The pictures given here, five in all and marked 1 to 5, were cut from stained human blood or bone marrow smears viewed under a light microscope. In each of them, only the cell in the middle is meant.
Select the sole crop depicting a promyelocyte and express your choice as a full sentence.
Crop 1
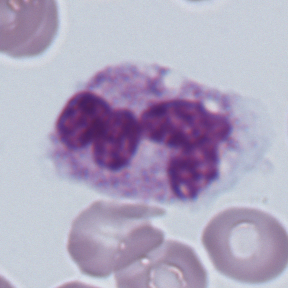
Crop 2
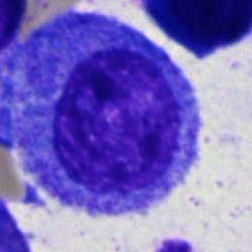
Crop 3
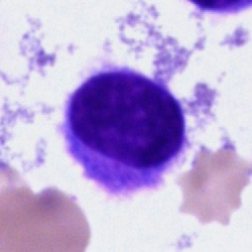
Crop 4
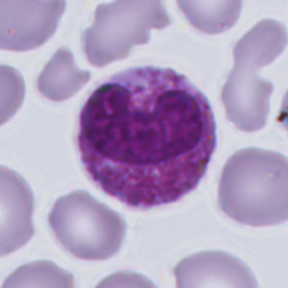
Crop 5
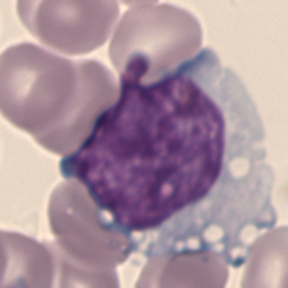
When the crops are compared, crop 2 is the one showing a promyelocyte.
